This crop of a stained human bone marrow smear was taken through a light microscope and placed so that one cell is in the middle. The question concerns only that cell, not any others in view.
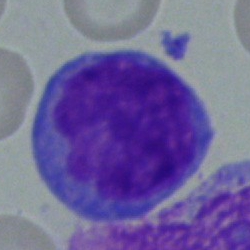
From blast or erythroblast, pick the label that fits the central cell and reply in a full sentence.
Seen at the centre of the crop is a blast.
